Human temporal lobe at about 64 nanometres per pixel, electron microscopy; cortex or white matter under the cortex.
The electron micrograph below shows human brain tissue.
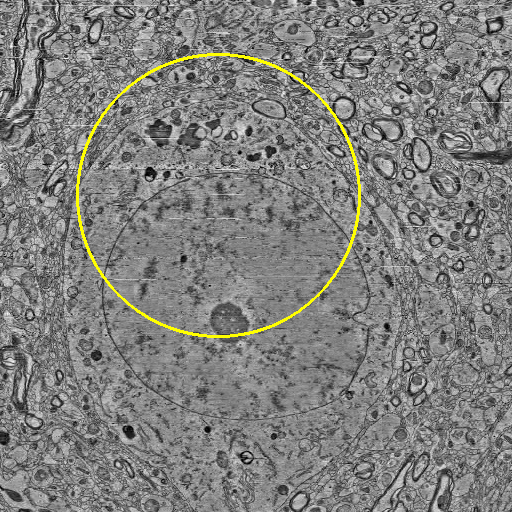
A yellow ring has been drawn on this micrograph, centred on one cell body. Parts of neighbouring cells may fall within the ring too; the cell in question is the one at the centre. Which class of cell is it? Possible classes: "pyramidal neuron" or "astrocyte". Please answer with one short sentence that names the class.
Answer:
In the centre of the ring sits a pyramidal neuron.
